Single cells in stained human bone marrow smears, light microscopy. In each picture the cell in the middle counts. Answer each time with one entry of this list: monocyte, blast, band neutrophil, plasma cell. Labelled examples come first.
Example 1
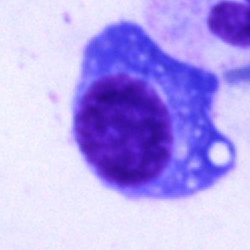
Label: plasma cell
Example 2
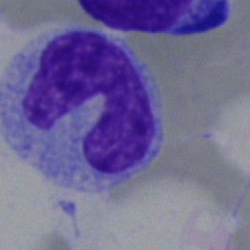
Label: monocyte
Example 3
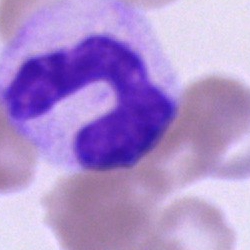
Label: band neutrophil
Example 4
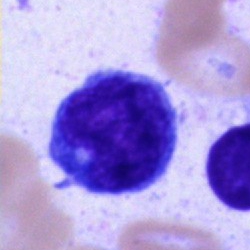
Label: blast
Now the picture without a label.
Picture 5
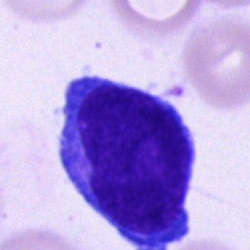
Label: blast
